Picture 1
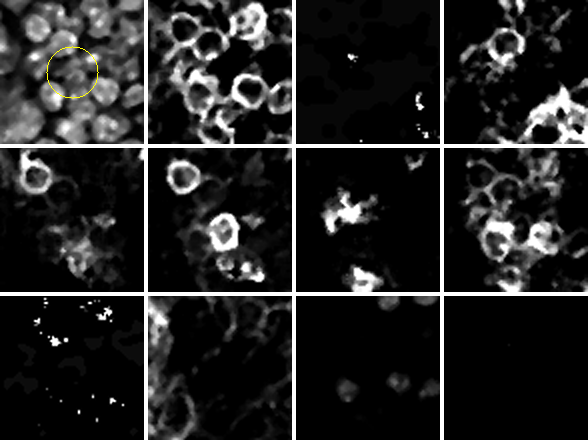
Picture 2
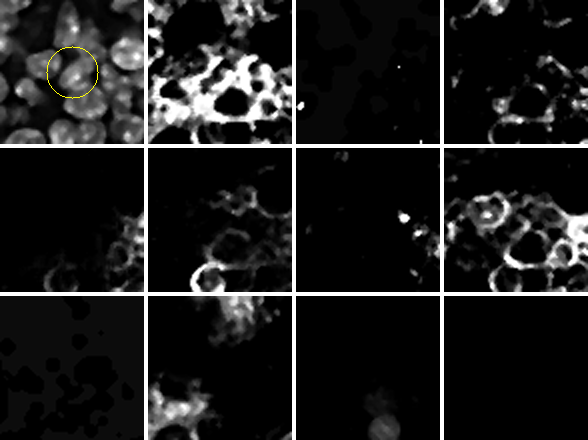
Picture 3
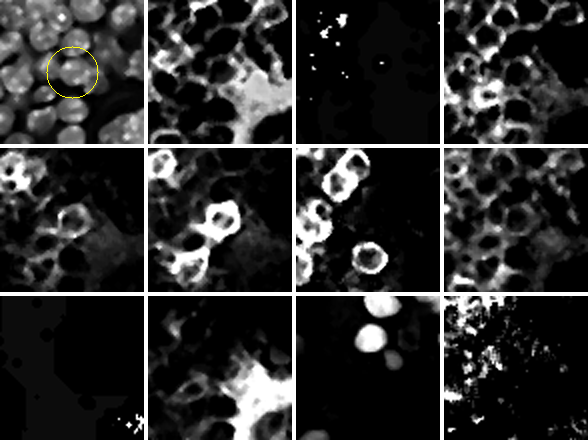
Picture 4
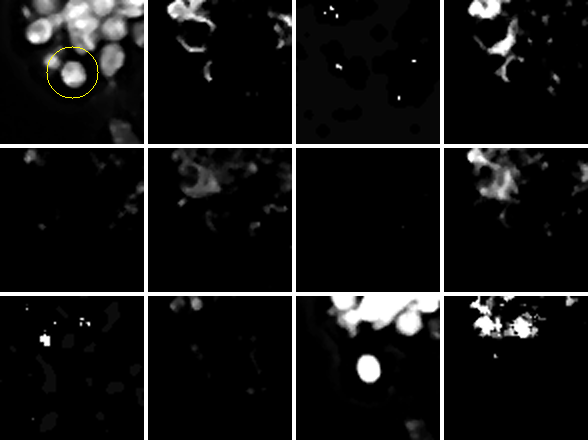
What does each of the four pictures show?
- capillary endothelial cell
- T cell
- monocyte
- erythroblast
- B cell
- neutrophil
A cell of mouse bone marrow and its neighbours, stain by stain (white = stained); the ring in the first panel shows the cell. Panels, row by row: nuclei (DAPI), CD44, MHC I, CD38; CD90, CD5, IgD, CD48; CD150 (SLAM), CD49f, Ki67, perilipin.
Picture 1: T cell
Picture 2: neutrophil
Picture 3: T cell
Picture 4: erythroblast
